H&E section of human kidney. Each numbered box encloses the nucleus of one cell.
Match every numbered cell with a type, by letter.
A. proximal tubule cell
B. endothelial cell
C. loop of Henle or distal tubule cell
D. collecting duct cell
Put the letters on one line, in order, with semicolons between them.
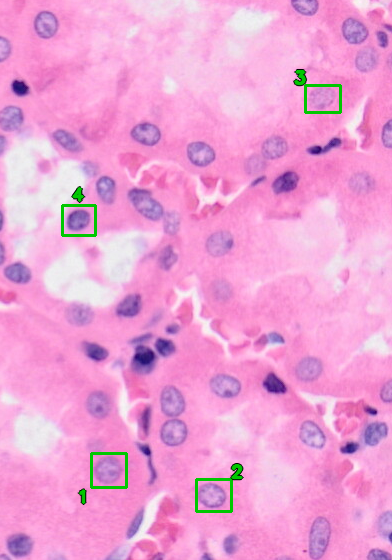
A; A; A; C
